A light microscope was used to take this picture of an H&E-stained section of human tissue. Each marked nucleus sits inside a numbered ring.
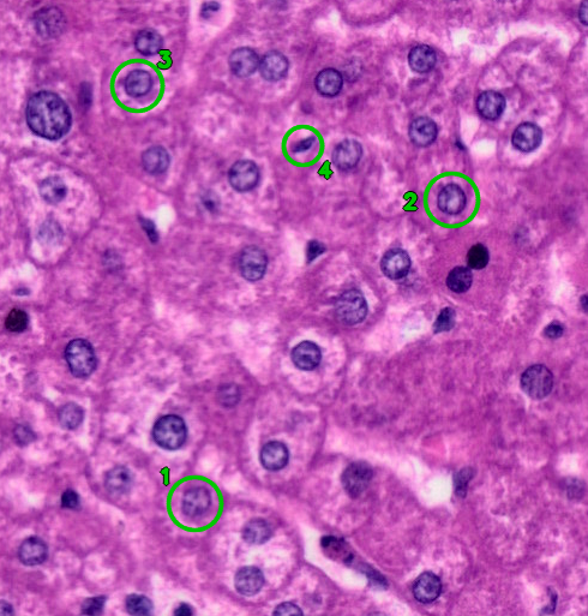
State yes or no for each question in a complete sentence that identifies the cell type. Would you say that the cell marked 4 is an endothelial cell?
Yes, that one, number 4, is an endothelial cell.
